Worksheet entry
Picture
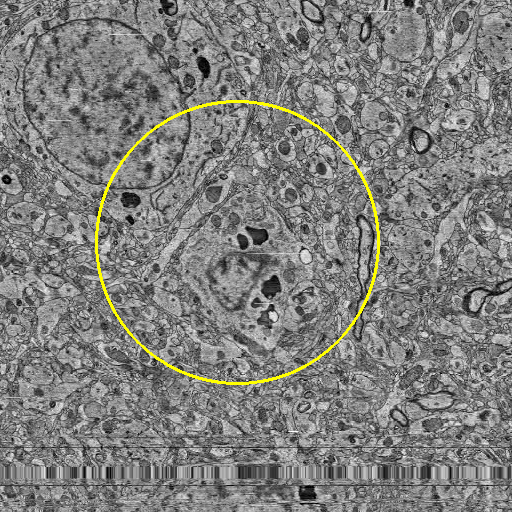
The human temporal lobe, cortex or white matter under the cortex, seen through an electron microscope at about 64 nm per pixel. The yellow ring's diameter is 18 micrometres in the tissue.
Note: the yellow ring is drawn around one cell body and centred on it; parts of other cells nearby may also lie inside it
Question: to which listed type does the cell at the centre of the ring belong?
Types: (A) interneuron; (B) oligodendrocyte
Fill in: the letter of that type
A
